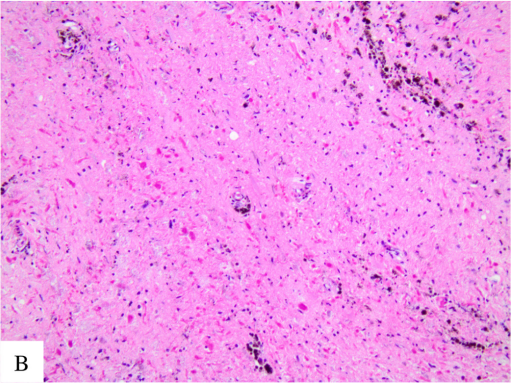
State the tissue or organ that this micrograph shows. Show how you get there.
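Pink fibrillary matrix with scattered elongated nuclei. No clusters of small round cells. Dark brown pigment deposits along vessels.
Hence: Glial component.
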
